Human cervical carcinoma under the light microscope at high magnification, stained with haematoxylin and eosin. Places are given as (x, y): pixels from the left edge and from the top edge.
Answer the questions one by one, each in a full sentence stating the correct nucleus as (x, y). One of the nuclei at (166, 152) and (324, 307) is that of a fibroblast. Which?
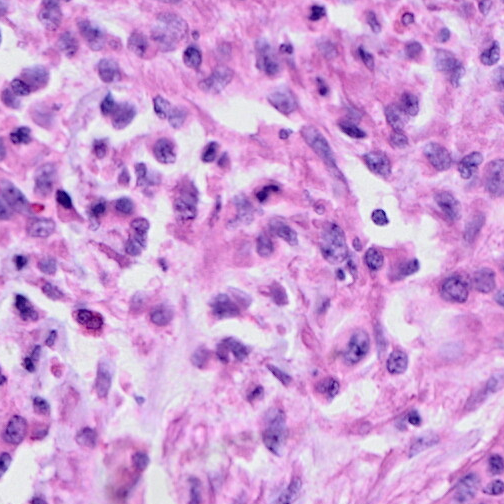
Among the two nuclei, the one lying at (324, 307) is part of a fibroblast.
